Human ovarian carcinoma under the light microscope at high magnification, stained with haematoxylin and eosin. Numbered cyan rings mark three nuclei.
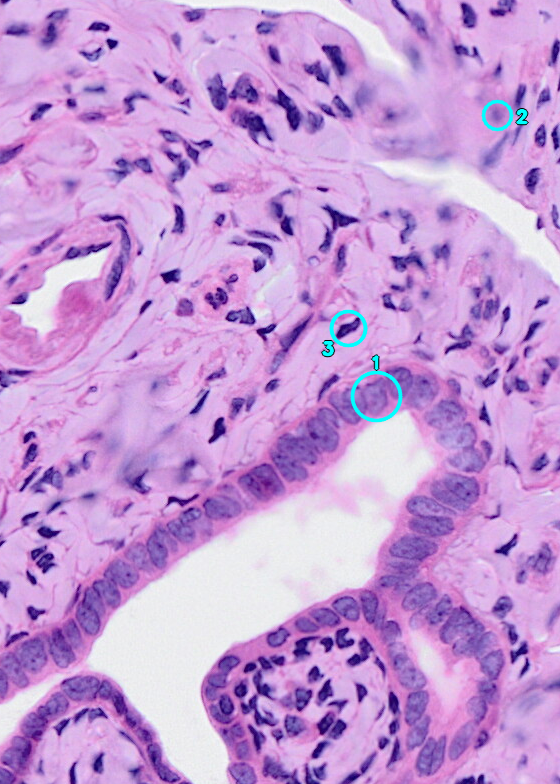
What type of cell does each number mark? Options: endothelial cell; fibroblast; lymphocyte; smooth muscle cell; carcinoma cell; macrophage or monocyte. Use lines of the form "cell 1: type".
cell 1: carcinoma cell
cell 2: smooth muscle cell
cell 3: fibroblast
